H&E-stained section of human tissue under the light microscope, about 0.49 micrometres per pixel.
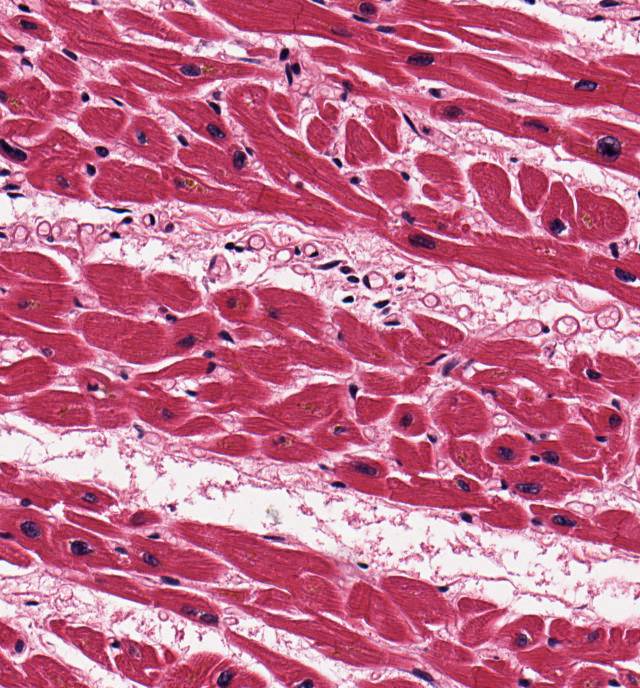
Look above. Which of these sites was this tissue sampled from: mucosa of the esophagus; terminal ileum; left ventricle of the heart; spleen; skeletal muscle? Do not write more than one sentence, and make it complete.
Tissue sampled from the left ventricle of the heart forms this section.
